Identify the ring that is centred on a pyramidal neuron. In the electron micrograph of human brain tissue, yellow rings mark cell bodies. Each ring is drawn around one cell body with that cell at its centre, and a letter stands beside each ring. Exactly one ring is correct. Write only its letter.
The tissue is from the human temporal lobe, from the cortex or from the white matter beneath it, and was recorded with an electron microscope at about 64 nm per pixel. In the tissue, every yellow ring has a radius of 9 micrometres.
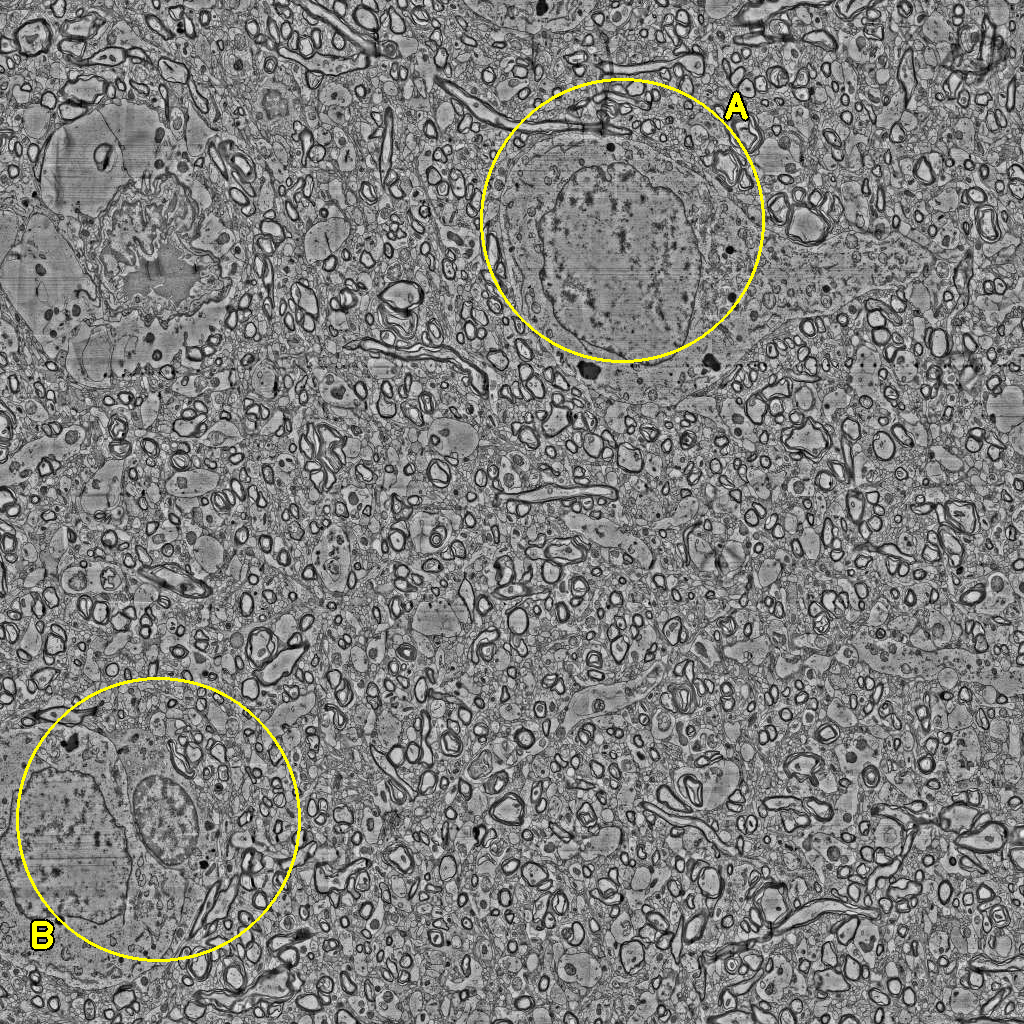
A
